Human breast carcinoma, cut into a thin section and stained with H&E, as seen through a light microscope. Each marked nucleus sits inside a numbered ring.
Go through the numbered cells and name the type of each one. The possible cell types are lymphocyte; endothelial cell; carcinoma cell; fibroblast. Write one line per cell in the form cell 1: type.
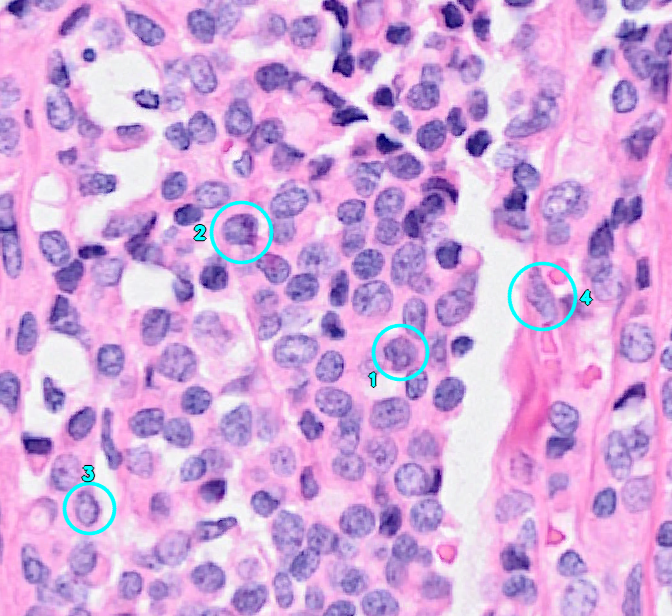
cell 1: carcinoma cell
cell 2: carcinoma cell
cell 3: carcinoma cell
cell 4: endothelial cell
